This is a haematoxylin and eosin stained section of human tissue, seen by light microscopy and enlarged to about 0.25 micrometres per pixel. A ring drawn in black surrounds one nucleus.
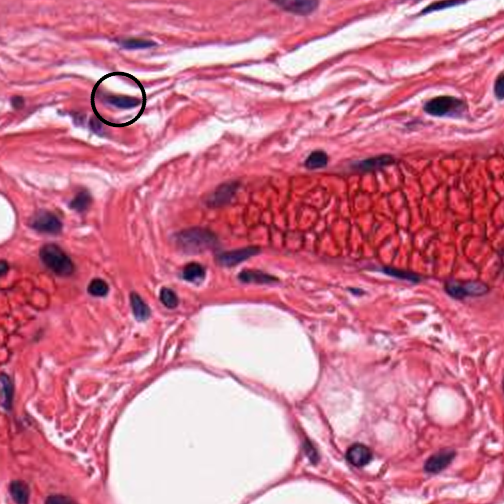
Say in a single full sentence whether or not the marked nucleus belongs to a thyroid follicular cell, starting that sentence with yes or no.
No, the marked nucleus, which belongs to a supporting cell, is not part of a thyroid follicular cell.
